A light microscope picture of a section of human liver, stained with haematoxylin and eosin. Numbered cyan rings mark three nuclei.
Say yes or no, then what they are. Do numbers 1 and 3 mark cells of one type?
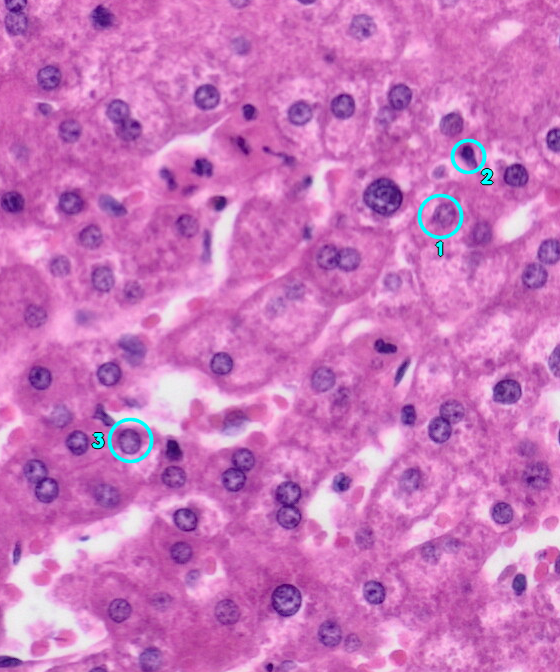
Yes, both of cells 1 and 3 are hepatocytes.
